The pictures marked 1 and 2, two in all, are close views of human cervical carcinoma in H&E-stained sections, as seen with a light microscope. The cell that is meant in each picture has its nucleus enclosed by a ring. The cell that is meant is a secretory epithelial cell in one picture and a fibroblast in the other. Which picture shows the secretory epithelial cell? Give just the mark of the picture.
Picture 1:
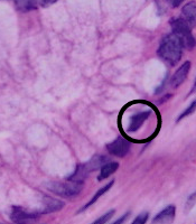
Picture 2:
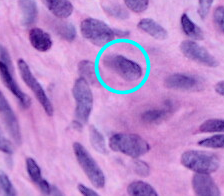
1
